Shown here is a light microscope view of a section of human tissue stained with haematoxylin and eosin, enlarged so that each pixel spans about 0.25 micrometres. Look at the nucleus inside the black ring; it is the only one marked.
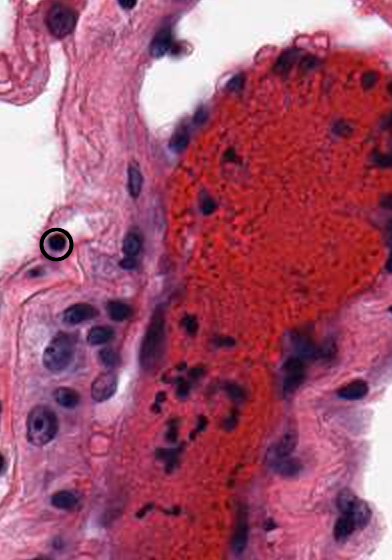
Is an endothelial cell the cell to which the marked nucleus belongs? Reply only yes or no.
no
